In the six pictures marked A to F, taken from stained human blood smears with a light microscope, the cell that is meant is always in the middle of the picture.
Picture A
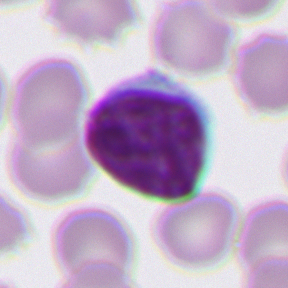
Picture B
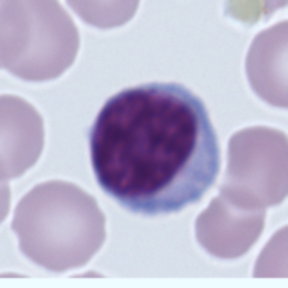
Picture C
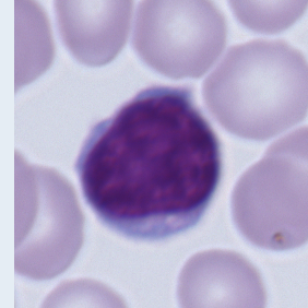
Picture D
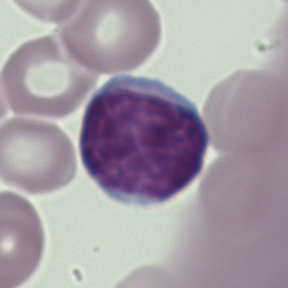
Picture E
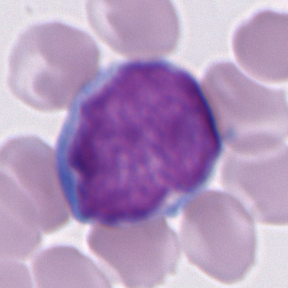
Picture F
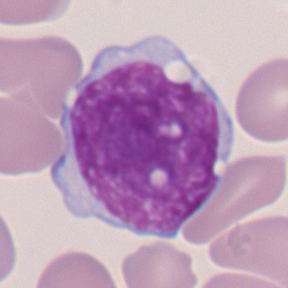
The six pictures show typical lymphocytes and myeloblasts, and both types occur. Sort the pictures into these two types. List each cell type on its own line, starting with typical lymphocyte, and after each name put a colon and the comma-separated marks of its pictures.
typical lymphocyte: A, B, C
myeloblast: D, E, F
